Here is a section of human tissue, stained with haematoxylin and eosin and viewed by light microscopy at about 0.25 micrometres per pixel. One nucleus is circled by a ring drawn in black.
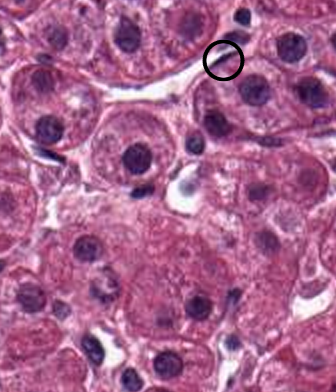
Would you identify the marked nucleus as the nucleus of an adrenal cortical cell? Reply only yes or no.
no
